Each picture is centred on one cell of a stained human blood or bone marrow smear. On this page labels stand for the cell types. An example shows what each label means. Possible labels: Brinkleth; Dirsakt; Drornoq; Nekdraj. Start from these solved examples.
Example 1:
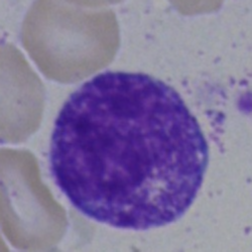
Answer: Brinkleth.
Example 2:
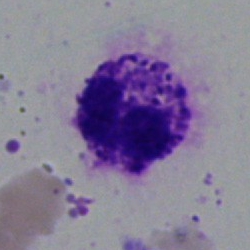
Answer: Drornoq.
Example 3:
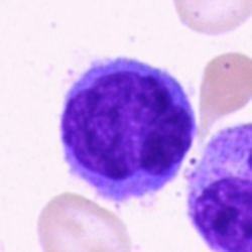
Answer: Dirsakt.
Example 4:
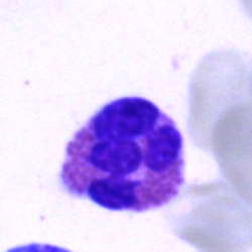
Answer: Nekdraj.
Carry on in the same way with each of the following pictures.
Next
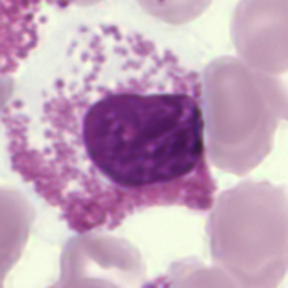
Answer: Nekdraj.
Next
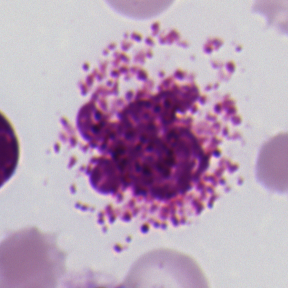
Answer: Drornoq.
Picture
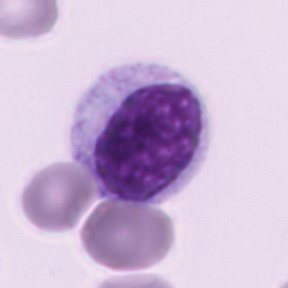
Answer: Brinkleth.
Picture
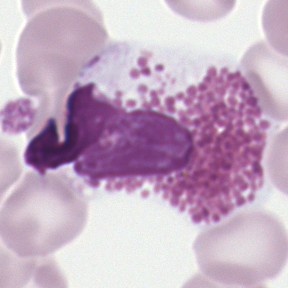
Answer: Nekdraj.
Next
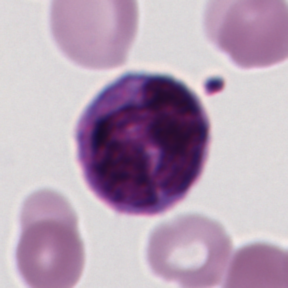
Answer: Dirsakt.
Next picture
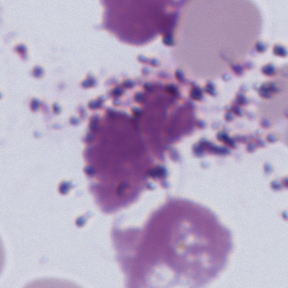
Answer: Drornoq.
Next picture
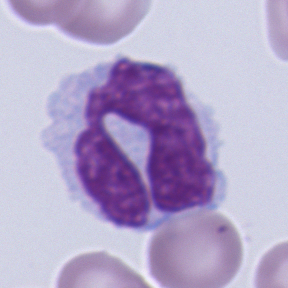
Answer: Dirsakt.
